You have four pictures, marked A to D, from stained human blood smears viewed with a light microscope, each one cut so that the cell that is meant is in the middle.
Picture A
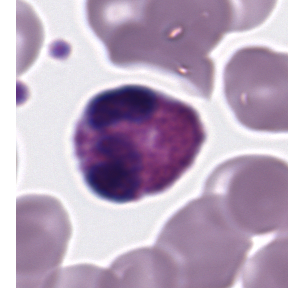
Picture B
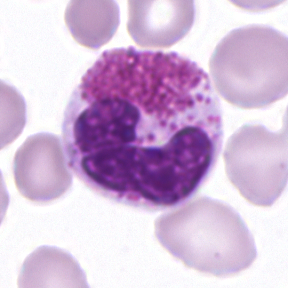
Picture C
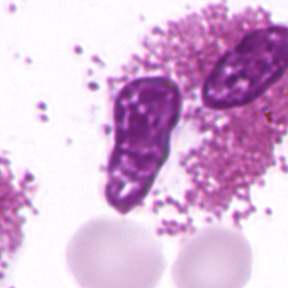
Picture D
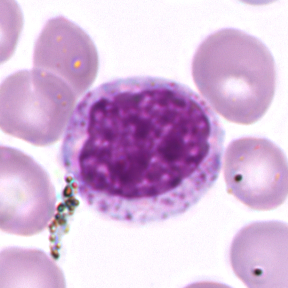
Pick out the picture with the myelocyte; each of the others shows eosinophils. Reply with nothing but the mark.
D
